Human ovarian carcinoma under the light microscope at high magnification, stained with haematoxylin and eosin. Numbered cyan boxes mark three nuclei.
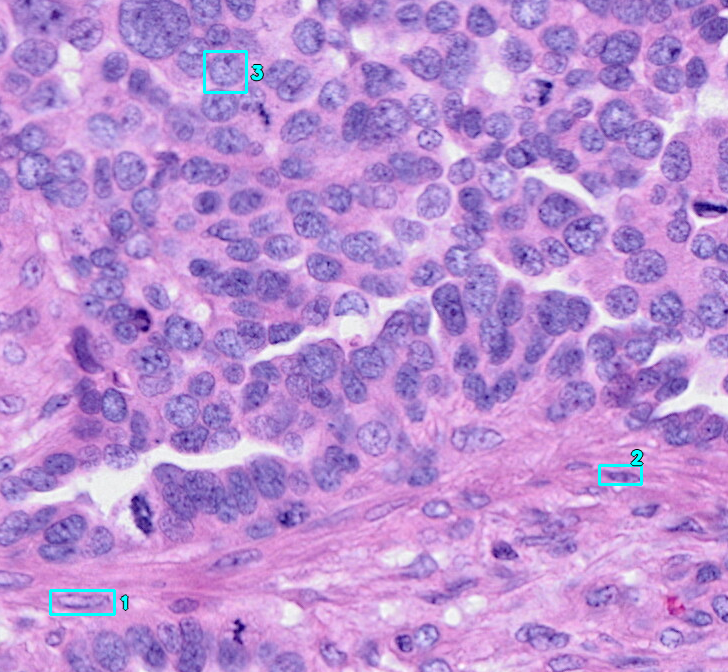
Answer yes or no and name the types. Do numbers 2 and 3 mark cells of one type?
No, cell 2 is a fibroblast and cell 3 is a carcinoma cell.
